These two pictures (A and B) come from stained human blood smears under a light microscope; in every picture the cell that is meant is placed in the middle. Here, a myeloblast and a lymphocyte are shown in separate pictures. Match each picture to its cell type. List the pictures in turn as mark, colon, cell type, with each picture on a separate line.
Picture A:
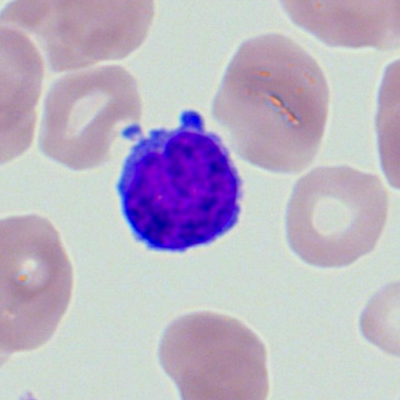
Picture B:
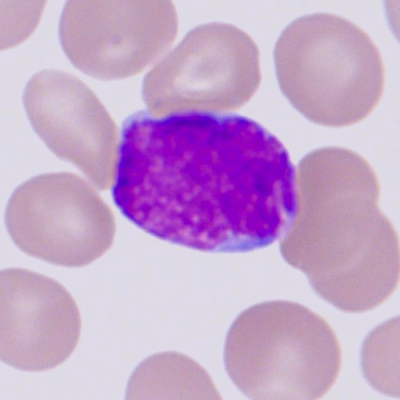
A: lymphocyte
B: myeloblast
